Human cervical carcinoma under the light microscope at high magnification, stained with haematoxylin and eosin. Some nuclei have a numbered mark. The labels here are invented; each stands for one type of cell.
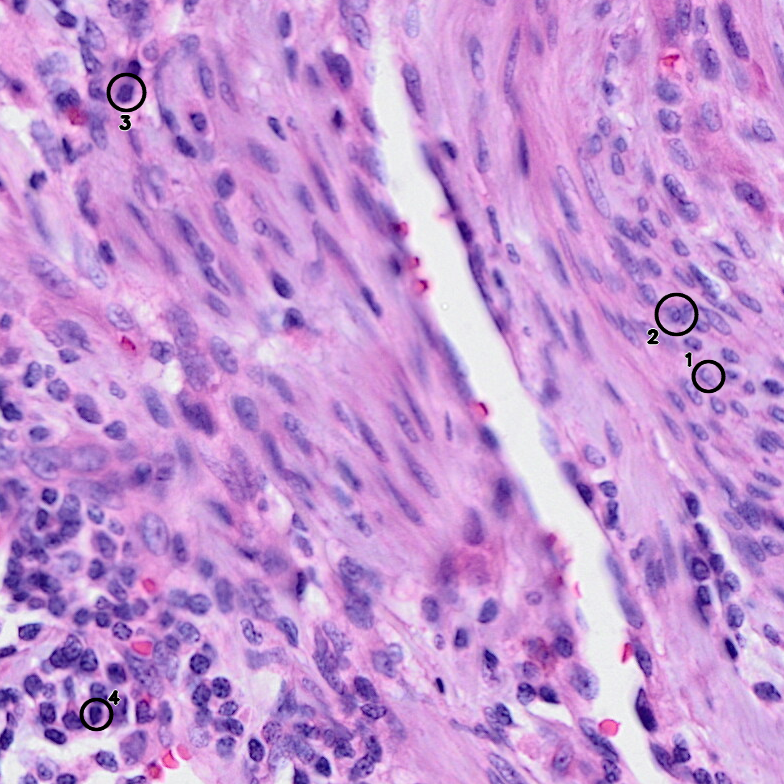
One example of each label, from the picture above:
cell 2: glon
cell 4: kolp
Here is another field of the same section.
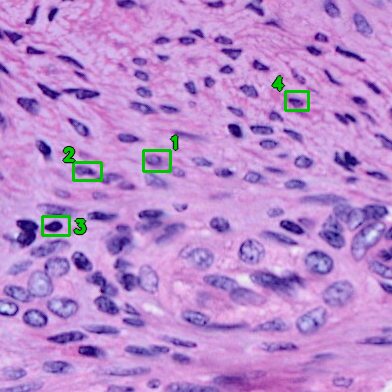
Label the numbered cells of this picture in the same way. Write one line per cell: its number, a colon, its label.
1: glon
2: glon
3: kolp
4: glon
